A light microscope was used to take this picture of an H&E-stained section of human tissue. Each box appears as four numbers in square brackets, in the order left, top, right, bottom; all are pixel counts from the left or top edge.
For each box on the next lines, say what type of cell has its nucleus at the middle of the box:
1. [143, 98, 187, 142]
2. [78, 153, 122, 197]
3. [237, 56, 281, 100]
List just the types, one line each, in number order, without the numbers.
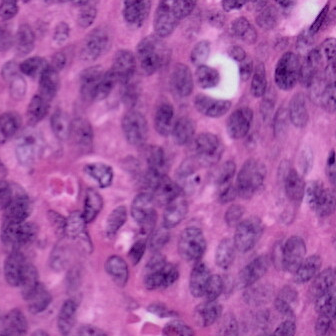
carcinoma cell
macrophage or monocyte
carcinoma cell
